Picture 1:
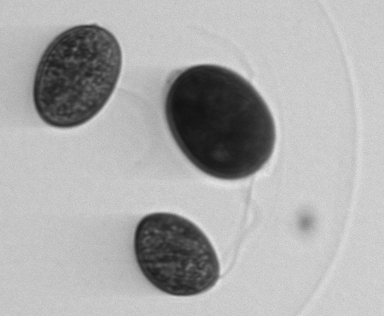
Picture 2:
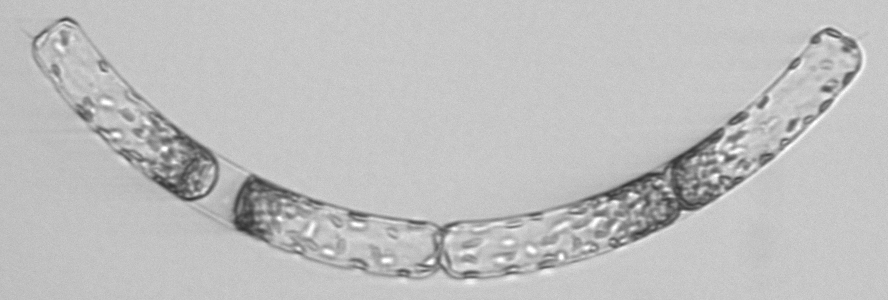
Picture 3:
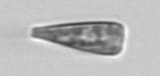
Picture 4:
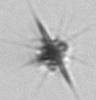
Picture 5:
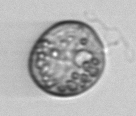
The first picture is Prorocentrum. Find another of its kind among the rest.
Picture 5.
